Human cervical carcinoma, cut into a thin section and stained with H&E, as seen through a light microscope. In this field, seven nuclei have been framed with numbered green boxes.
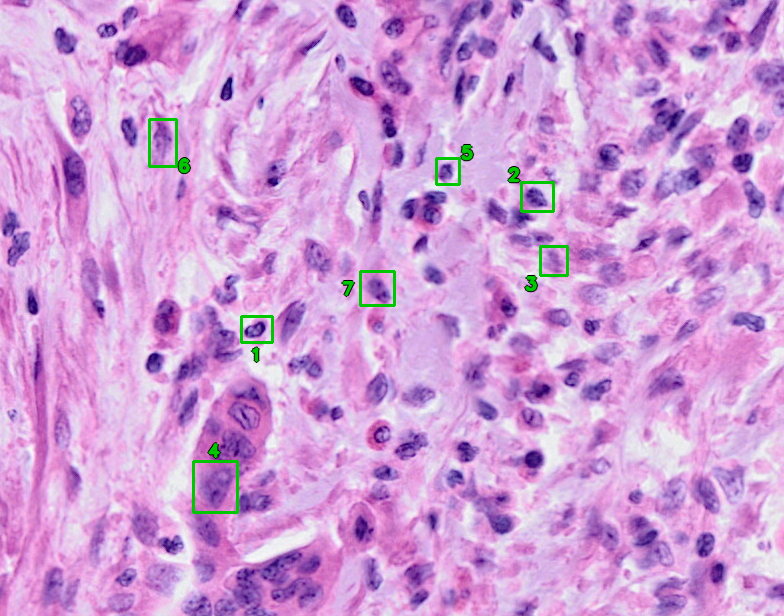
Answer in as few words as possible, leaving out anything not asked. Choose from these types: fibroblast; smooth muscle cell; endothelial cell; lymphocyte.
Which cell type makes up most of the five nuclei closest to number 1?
endothelial cell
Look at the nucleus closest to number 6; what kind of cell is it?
lymphocyte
